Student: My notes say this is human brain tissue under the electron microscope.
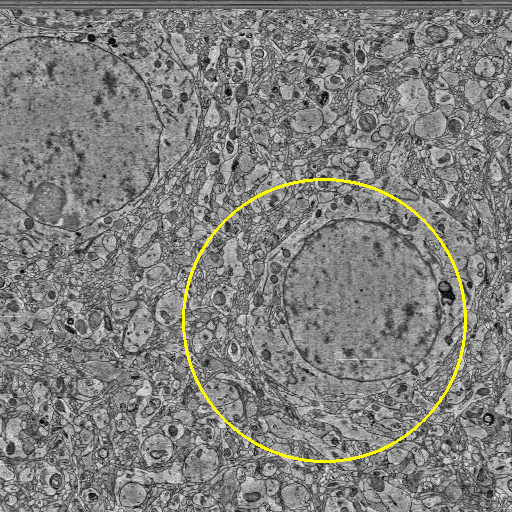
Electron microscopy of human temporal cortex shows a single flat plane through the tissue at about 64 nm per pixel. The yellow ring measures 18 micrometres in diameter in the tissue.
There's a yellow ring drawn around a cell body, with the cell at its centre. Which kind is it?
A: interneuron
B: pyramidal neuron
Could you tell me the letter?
B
